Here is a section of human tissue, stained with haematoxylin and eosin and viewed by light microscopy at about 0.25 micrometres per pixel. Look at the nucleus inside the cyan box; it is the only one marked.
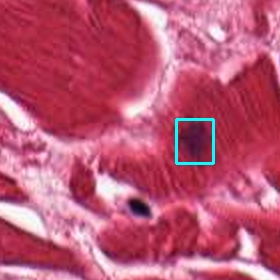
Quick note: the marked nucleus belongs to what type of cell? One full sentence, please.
The marked nucleus is the nucleus of a cardiomyocyte.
